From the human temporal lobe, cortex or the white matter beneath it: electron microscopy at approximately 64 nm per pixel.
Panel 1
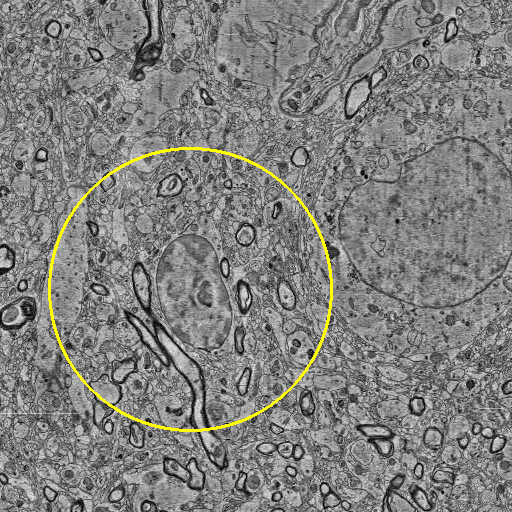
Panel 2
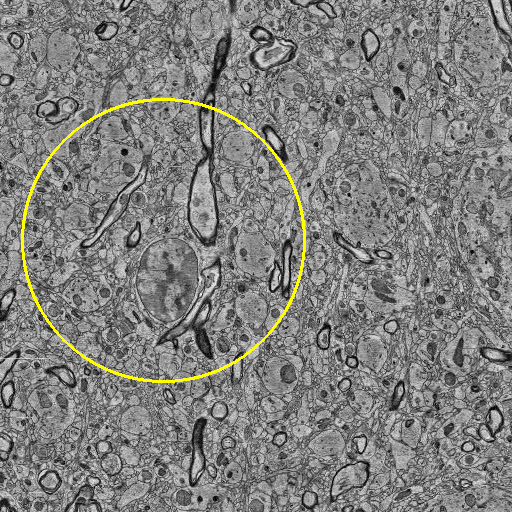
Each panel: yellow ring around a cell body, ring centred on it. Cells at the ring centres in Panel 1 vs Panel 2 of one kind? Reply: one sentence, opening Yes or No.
Yes, Panel 1 and Panel 2 have cells of one kind at the ring centres.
